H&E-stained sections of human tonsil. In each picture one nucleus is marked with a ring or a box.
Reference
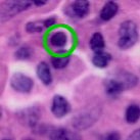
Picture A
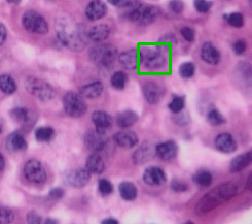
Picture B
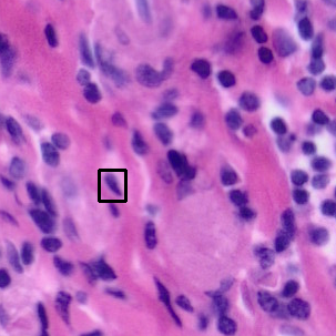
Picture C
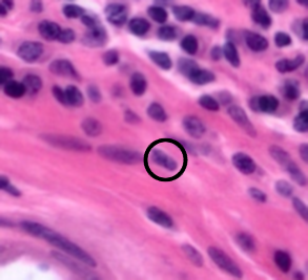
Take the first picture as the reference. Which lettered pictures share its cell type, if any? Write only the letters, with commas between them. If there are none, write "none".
A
